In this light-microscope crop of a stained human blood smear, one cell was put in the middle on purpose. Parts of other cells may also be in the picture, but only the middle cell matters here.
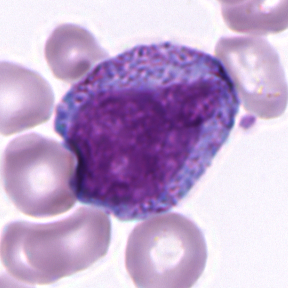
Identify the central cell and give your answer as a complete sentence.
The cell under consideration, at the middle of the crop, is a promyelocyte.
